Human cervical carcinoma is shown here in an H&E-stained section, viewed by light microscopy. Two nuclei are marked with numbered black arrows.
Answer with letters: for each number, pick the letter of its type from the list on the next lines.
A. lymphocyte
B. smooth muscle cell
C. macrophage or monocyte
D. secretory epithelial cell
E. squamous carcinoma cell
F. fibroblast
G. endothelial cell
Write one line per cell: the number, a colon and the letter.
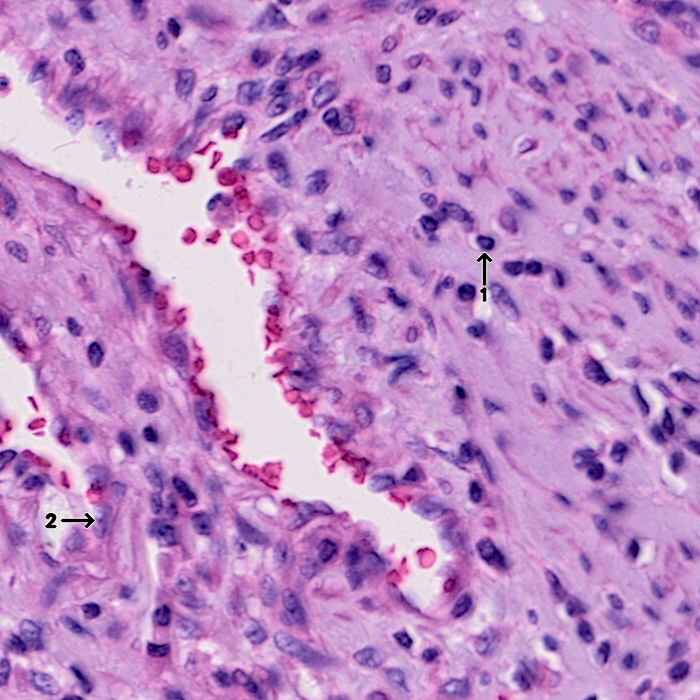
1: A
2: G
